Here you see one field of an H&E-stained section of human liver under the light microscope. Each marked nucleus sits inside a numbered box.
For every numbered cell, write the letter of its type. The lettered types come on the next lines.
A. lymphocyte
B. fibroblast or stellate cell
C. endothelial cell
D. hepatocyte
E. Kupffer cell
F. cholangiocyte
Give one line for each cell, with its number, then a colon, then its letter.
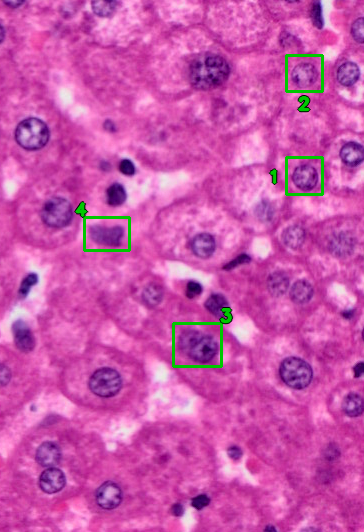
1: D
2: D
3: D
4: E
